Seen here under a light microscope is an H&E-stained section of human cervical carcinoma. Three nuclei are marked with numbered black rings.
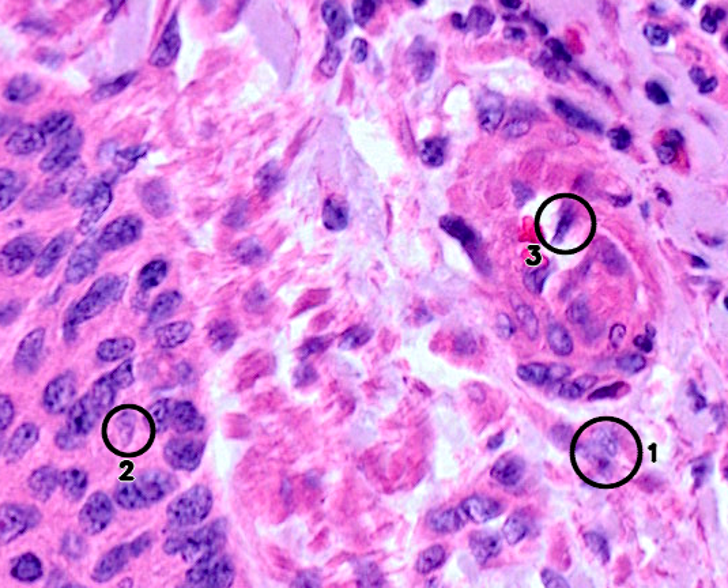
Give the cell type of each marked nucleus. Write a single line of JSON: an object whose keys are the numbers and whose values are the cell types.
{"1": "fibroblast", "2": "squamous carcinoma cell", "3": "endothelial cell"}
